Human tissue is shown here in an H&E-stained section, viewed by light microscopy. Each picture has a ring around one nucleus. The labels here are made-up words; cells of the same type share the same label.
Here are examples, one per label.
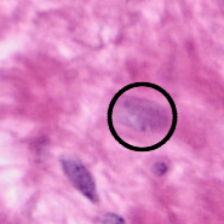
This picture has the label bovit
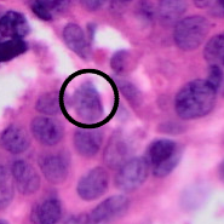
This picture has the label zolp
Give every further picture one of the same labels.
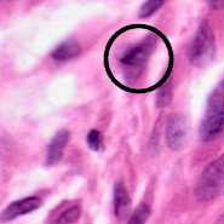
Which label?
bovit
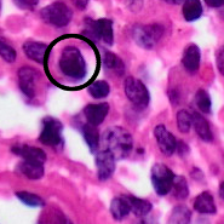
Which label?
zolp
